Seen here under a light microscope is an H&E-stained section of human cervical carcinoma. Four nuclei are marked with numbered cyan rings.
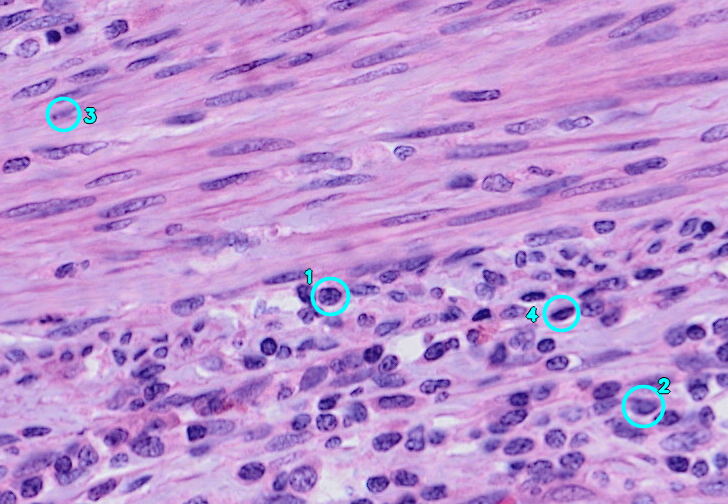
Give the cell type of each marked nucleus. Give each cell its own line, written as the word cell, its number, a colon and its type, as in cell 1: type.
cell 1: lymphocyte
cell 2: lymphocyte
cell 3: smooth muscle cell
cell 4: lymphocyte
